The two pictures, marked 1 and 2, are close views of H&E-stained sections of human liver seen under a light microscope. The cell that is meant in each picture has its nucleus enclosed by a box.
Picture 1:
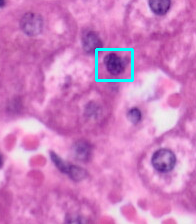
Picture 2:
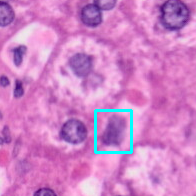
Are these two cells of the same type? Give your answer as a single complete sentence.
No; the cell in picture 1 is a “fibroblast or stellate cell”, while the one in picture 2 is an endothelial cell.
